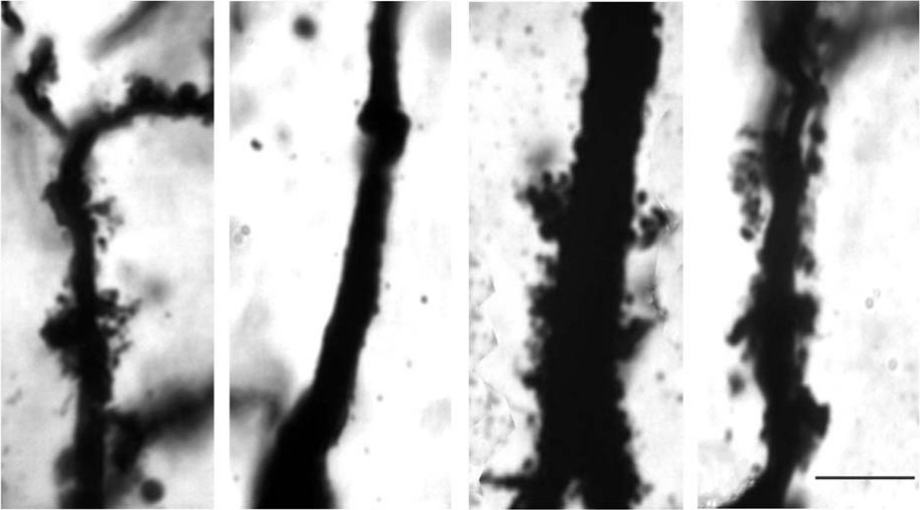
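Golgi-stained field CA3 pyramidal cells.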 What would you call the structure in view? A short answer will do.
Spinous excrescences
